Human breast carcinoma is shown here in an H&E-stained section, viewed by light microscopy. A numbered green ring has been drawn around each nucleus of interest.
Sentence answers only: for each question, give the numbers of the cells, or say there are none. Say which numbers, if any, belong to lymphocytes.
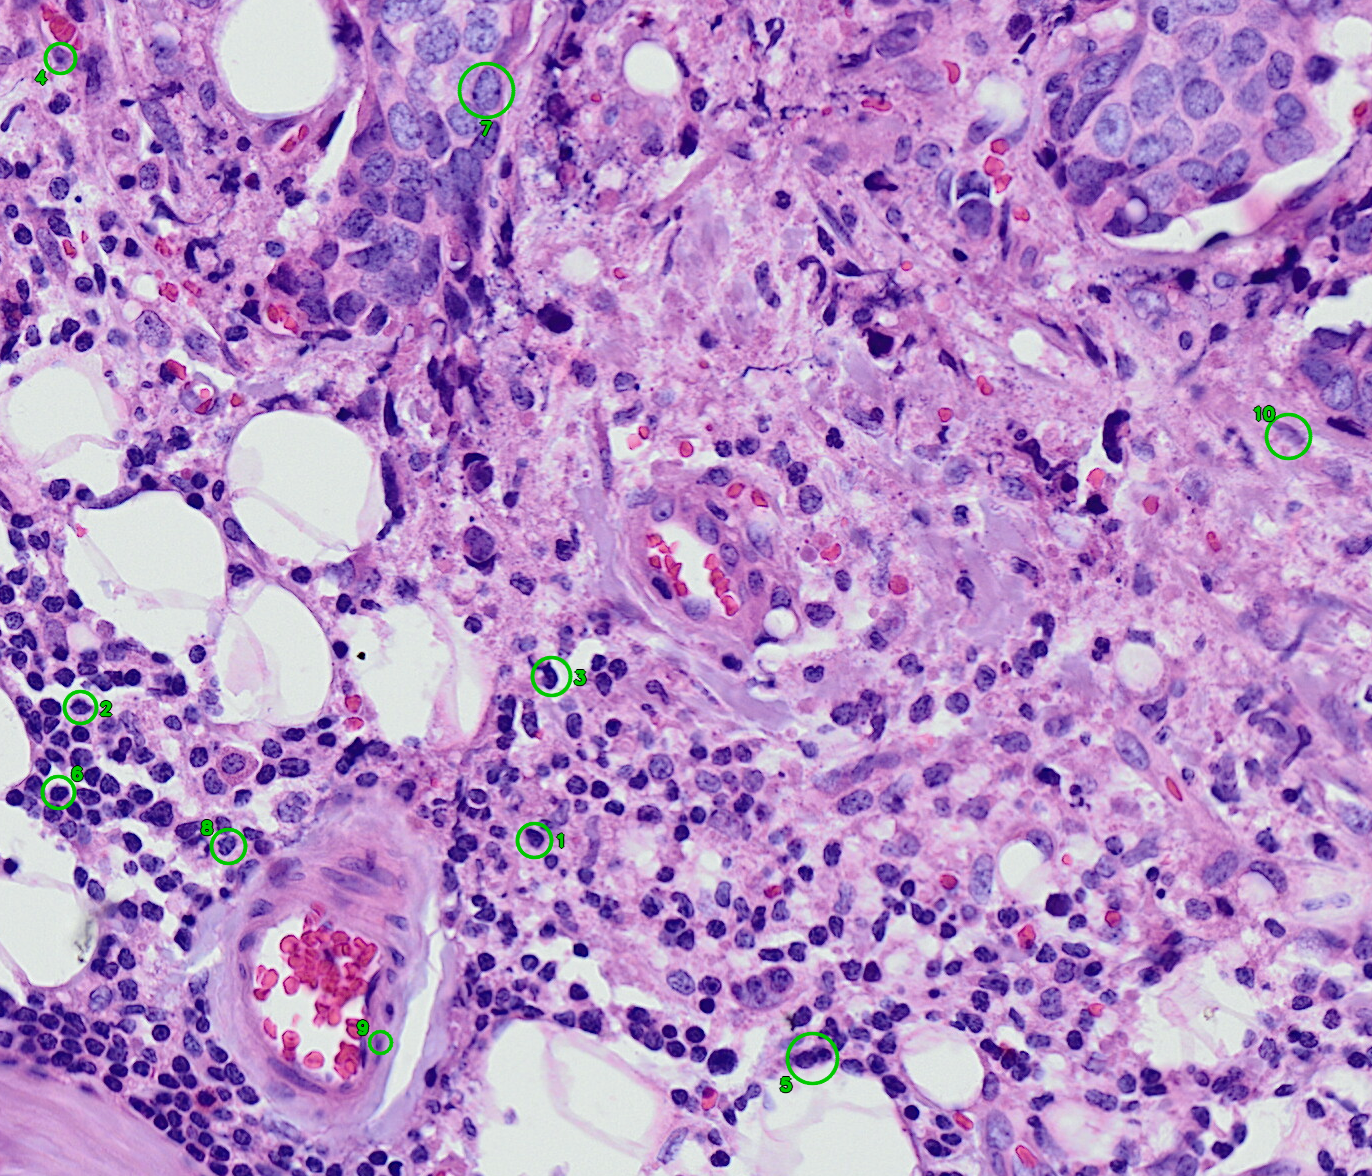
The cells marked 1, 2, 3, 5, 6 and 8 in the section are lymphocytes.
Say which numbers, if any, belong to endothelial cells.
The cells identified by the numbers 4 and 9 are endothelial cells.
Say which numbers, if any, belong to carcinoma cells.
Only the cell with number 7 is a carcinoma cell.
